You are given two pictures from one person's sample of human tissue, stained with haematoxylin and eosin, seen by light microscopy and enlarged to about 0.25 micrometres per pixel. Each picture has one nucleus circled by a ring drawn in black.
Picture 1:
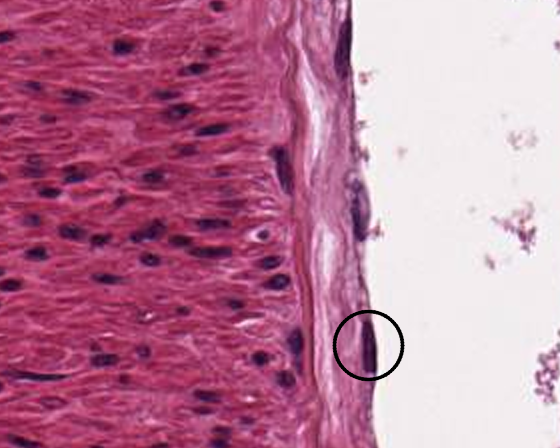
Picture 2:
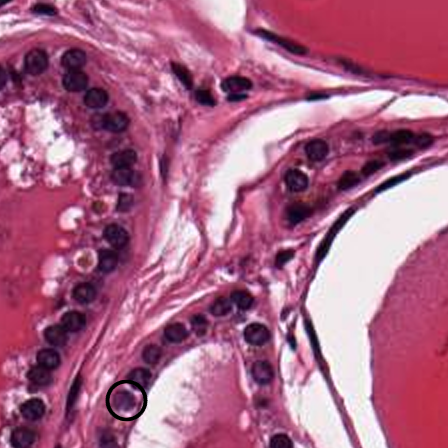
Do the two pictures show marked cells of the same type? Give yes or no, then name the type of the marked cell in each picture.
No, the first is an endothelial cell and the second a thyroid follicular cell.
